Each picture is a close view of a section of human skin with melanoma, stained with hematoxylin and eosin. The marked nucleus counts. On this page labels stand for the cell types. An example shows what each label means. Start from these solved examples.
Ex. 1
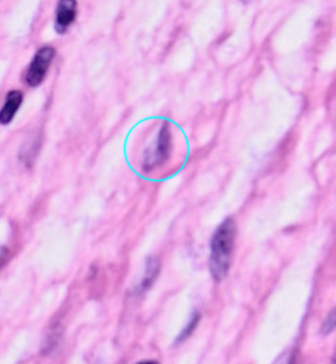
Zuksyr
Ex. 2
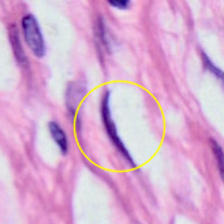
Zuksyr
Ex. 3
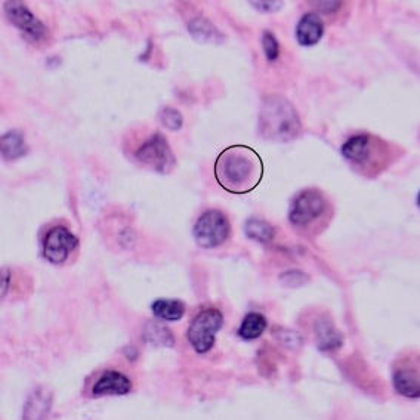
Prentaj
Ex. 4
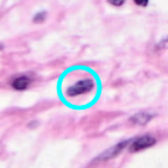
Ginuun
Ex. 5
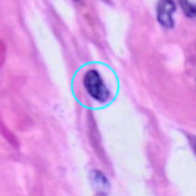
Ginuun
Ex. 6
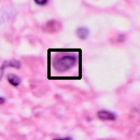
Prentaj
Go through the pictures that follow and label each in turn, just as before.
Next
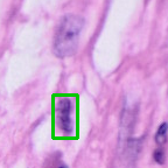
Prentaj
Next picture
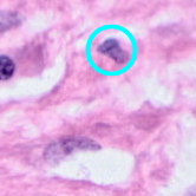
Prentaj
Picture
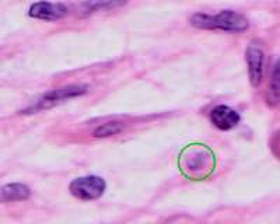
Prentaj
